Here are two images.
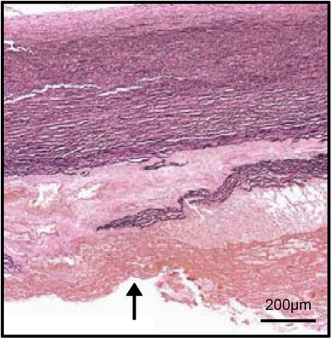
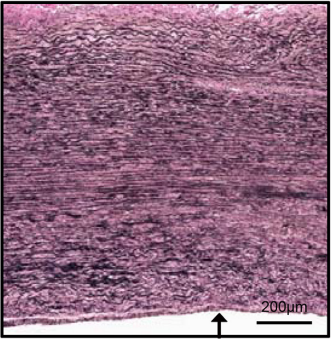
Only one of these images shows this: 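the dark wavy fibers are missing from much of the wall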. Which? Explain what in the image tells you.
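The first image. First image: the lower half is pale pink-orange with hardly any dark fibers.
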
